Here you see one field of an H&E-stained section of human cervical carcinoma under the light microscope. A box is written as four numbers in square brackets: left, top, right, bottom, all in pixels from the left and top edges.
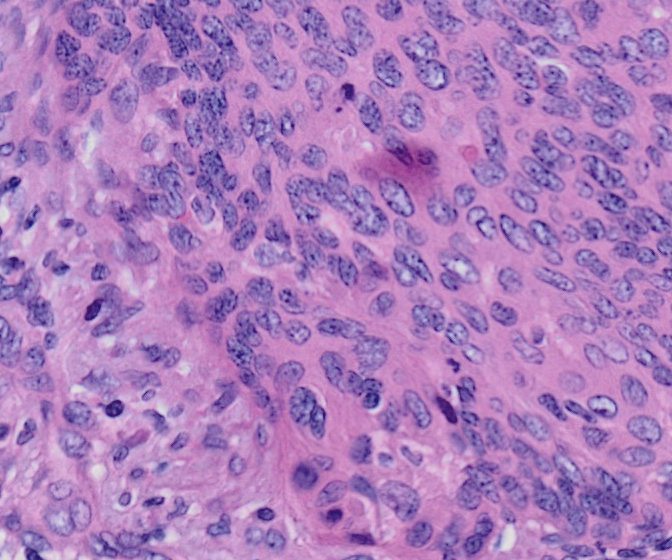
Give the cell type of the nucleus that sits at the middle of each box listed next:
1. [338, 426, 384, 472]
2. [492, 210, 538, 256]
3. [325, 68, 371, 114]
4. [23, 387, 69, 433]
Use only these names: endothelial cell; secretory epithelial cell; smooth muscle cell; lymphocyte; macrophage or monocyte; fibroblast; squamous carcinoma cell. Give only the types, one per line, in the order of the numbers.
squamous carcinoma cell
squamous carcinoma cell
squamous carcinoma cell
endothelial cell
